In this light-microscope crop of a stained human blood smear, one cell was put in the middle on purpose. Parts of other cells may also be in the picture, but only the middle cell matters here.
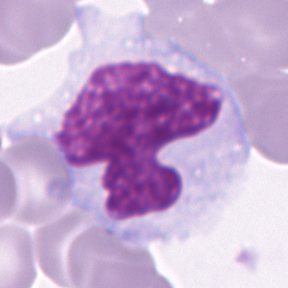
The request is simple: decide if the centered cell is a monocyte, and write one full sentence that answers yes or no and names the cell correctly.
Yes, that is right: the middle cell is a monocyte.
